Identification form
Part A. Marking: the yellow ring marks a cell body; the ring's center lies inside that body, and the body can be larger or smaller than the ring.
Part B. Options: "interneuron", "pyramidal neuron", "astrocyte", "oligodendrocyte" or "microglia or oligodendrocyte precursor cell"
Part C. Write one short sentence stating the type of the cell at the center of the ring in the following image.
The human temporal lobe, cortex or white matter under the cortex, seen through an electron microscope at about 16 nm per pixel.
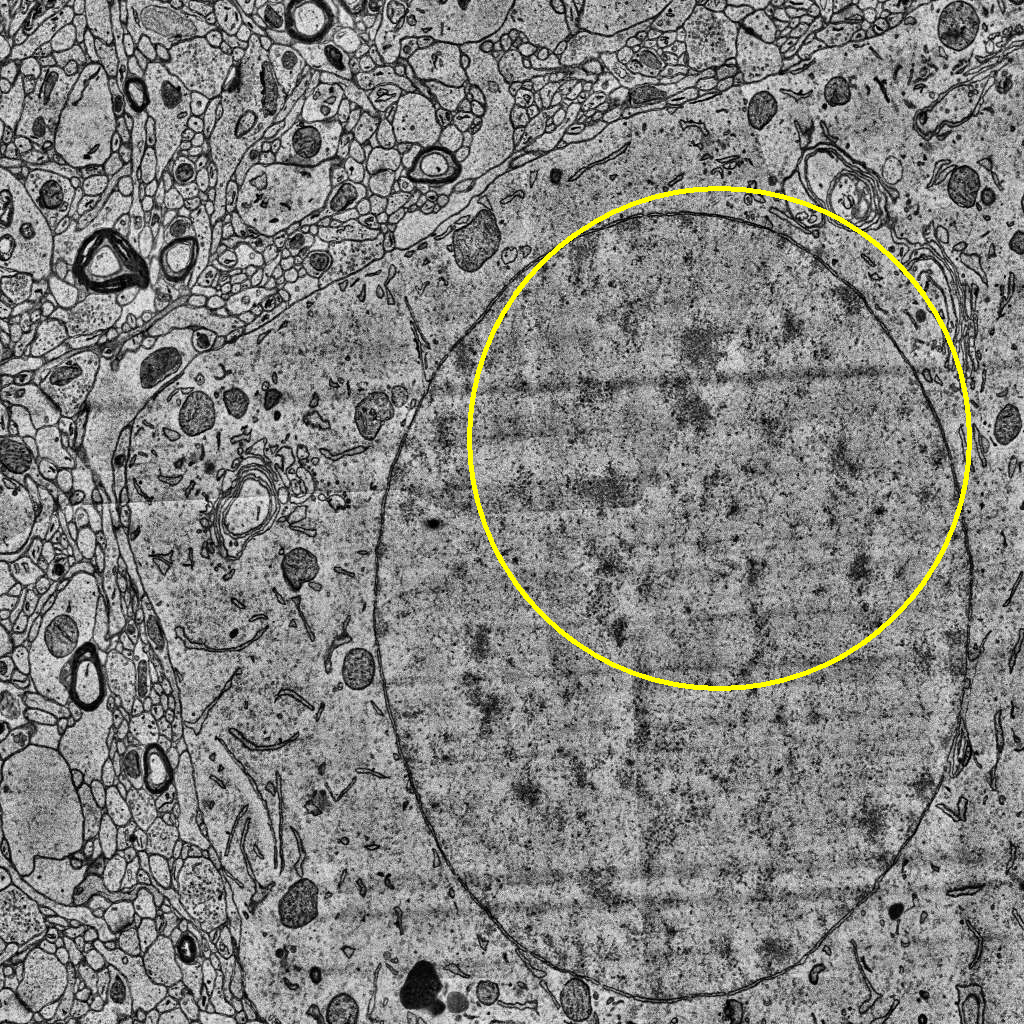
The center of the ring holds a pyramidal neuron.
